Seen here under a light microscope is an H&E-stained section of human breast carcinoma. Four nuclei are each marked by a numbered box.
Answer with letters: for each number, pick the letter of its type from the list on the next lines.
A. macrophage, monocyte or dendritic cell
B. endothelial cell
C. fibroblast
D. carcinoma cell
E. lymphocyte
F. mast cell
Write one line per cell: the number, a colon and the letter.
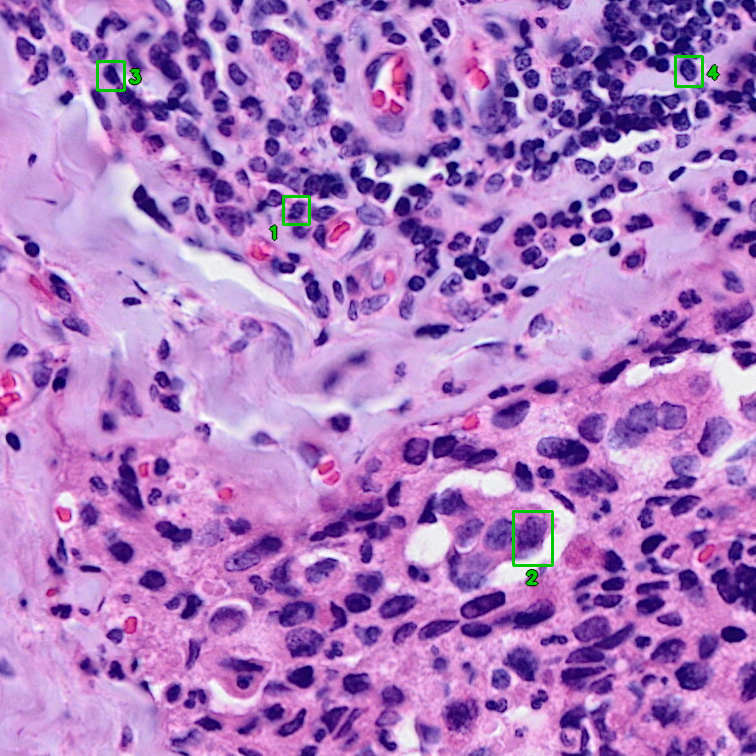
1: E
2: D
3: E
4: E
